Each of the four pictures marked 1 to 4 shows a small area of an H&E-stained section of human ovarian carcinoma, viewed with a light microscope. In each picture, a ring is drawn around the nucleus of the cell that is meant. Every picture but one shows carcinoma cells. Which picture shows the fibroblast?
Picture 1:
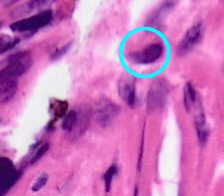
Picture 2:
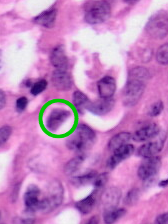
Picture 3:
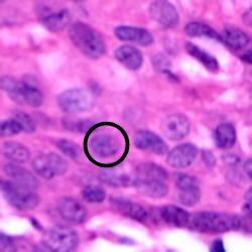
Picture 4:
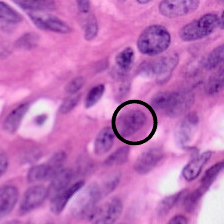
1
